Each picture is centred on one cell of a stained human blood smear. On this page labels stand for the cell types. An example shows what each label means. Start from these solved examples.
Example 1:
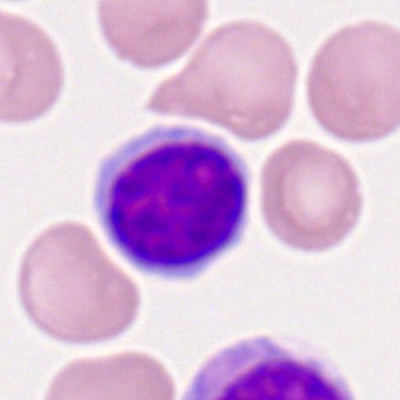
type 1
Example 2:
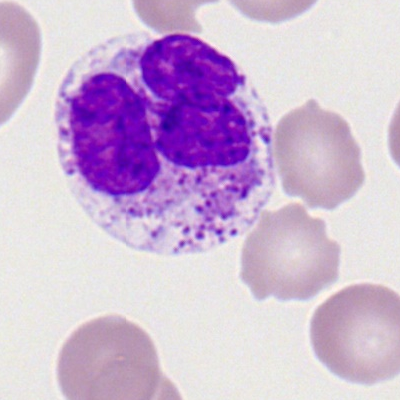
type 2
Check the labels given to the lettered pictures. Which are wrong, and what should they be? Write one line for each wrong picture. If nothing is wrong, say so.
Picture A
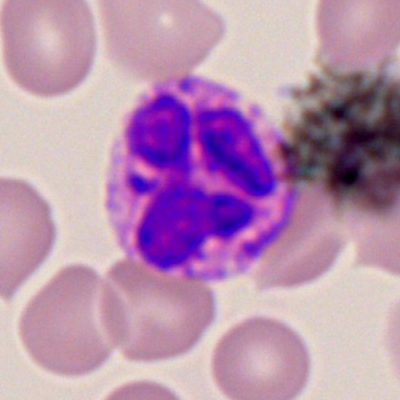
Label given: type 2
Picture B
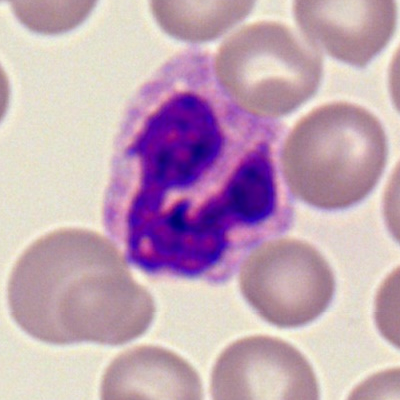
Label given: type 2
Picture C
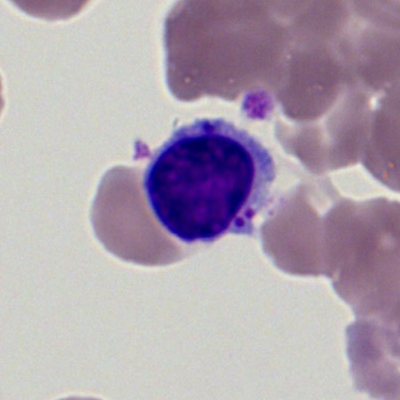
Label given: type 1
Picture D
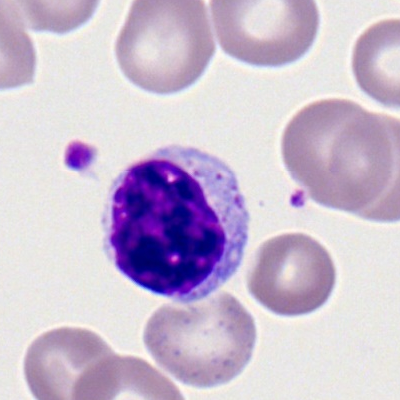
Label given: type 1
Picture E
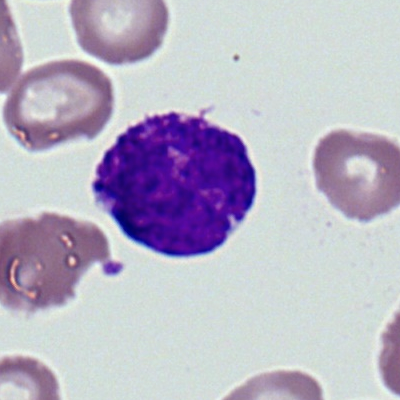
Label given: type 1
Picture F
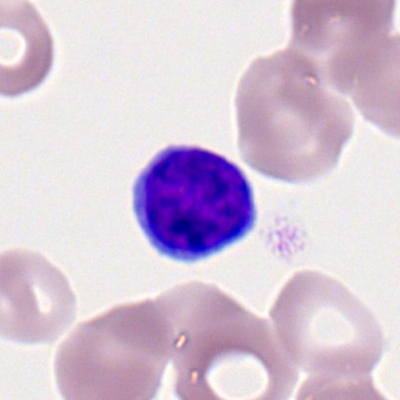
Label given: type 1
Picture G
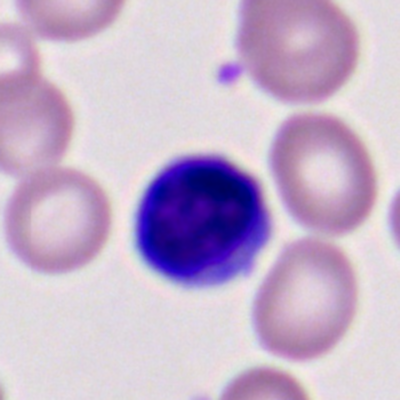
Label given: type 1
E: not type 1 but type 2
